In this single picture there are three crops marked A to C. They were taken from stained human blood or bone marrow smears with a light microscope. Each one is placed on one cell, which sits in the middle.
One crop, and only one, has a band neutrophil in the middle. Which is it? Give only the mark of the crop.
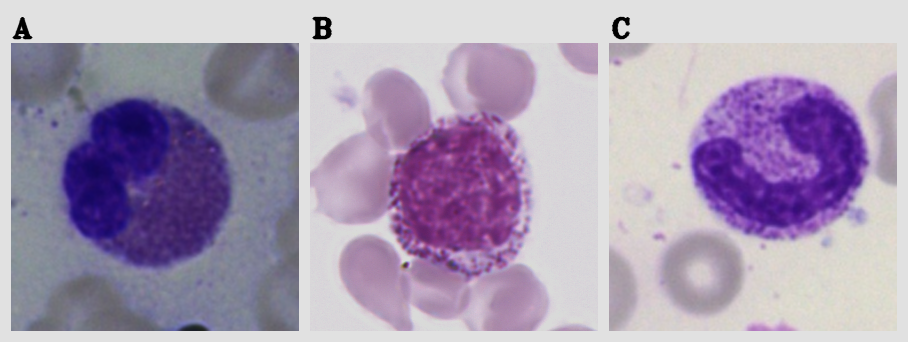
C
